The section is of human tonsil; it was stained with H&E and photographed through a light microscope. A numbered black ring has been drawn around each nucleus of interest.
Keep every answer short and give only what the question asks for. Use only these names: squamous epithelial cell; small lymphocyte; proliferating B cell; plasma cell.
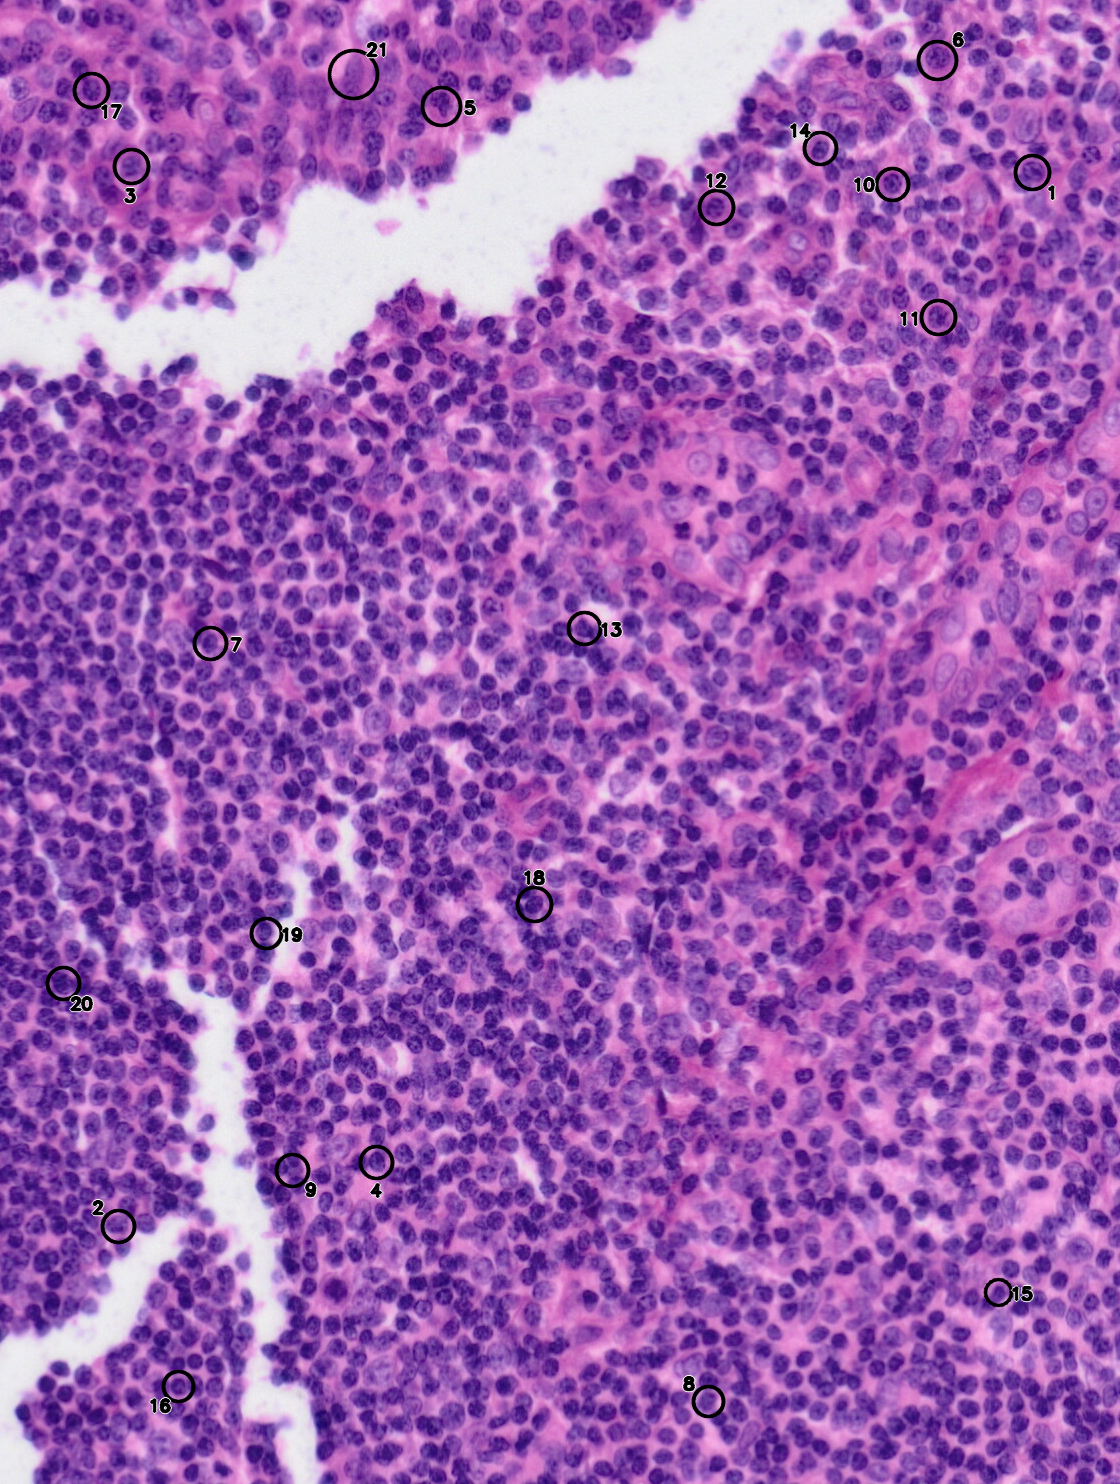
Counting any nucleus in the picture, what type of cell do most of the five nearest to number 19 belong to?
small lymphocyte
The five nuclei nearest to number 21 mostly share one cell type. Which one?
squamous epithelial cell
